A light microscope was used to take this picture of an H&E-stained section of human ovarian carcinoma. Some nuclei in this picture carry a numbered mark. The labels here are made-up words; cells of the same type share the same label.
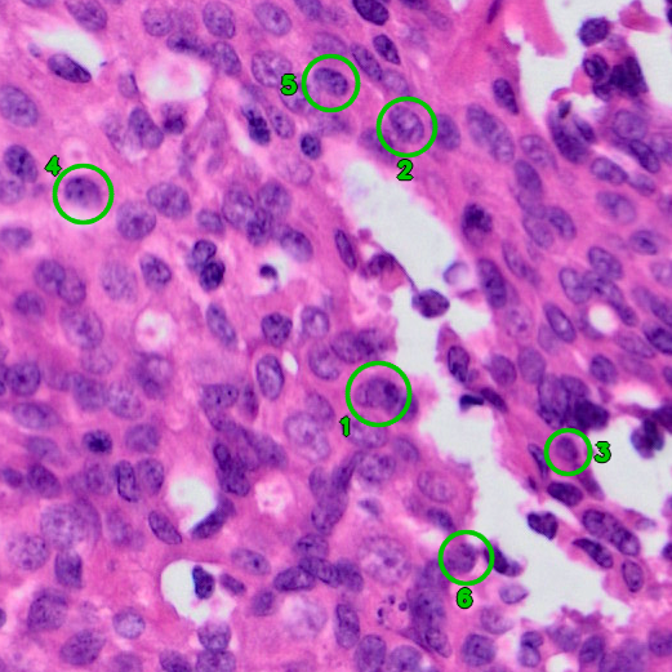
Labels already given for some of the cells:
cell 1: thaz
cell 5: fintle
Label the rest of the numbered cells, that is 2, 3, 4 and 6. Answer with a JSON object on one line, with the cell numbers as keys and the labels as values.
{"2": "thaz", "3": "thaz", "4": "fintle", "6": "thaz"}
